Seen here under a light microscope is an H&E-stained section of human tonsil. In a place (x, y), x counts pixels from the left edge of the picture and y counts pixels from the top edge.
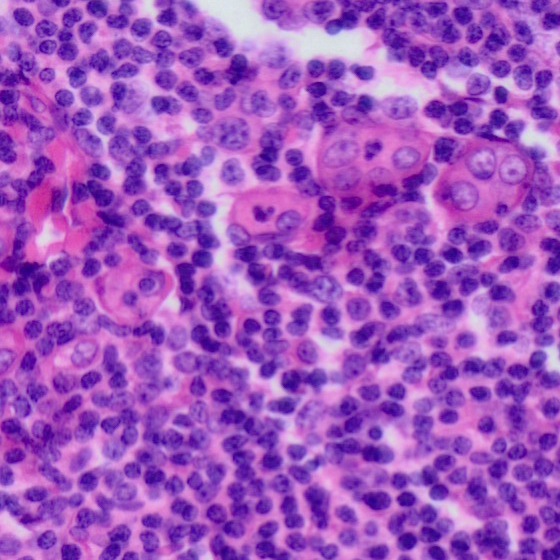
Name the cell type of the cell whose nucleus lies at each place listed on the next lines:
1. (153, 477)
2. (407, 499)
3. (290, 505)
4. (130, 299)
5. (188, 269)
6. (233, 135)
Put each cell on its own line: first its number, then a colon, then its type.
1: small lymphocyte
2: small lymphocyte
3: small lymphocyte
4: endothelial cell
5: small lymphocyte
6: proliferating B cell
